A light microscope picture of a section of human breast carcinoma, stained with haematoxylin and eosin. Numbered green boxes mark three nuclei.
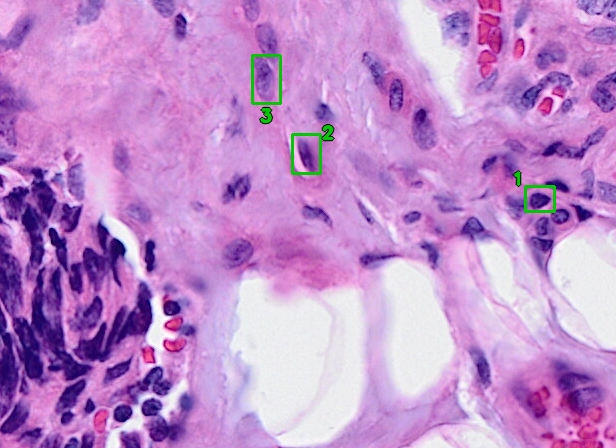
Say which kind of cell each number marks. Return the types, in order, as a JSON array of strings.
["lymphocyte", "endothelial cell", "endothelial cell"]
